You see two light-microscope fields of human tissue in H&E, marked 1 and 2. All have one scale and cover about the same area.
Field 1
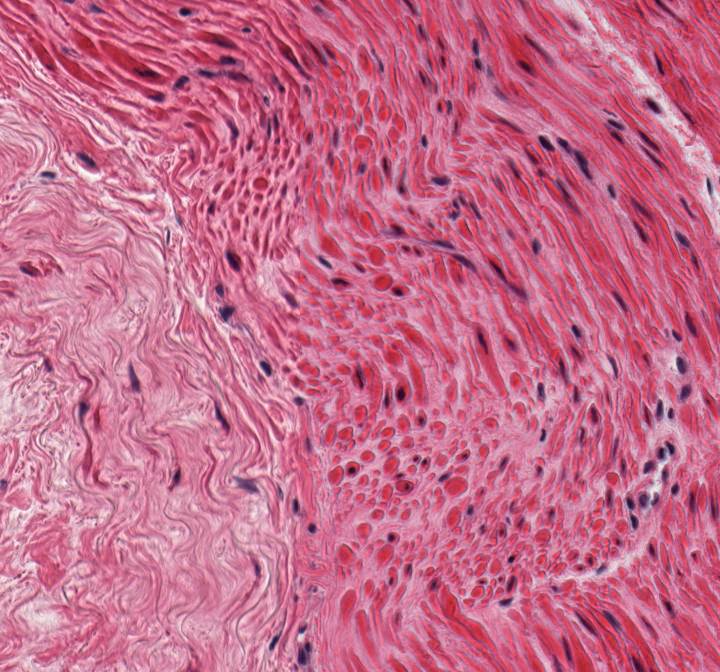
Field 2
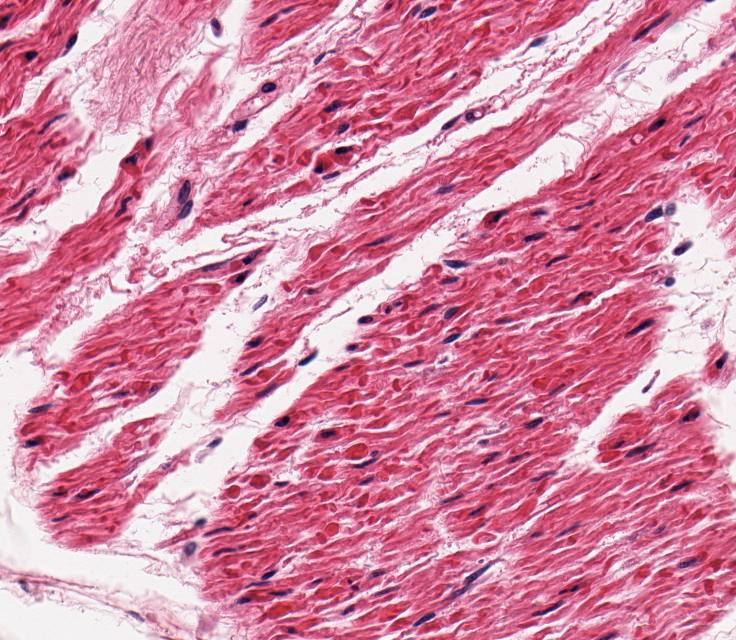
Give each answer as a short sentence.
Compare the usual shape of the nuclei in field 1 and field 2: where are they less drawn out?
Rounder nuclei lie in field 1.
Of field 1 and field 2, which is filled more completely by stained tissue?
Less of field 1 is empty and white.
